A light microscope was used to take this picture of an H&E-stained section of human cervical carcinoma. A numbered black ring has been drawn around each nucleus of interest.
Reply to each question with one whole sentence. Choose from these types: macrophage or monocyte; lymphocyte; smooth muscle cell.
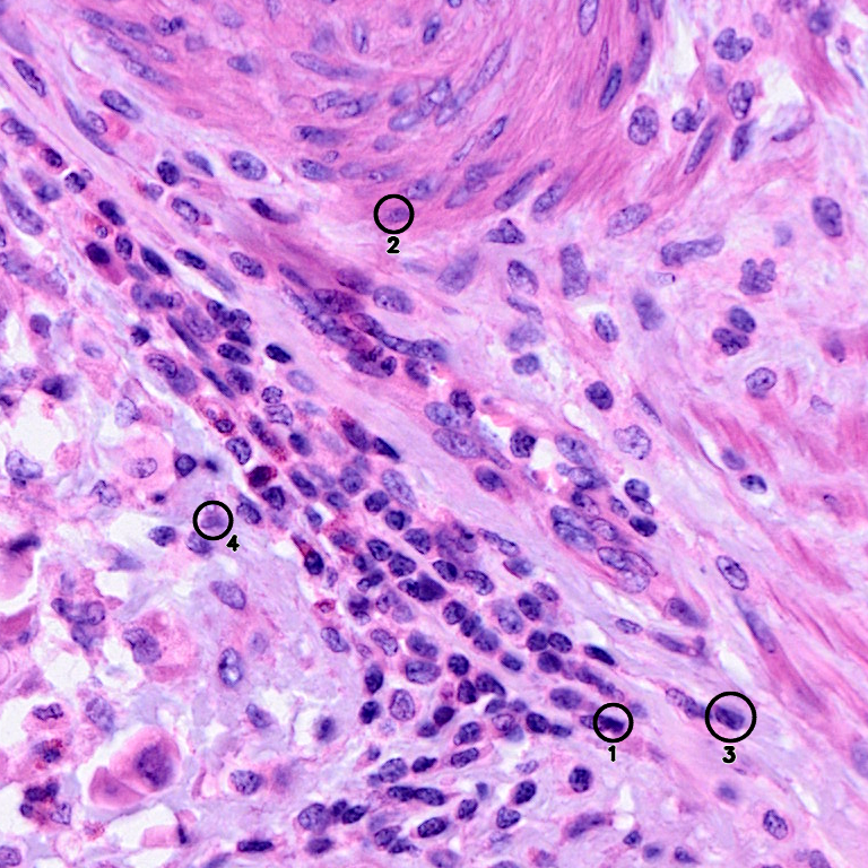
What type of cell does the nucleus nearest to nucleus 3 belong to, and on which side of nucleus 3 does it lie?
Lying to the left of nucleus 3, the nearest nucleus is that of a macrophage or monocyte.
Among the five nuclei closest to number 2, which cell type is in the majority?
Around number 2, most of the five nearest nuclei are those of smooth muscle cells.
